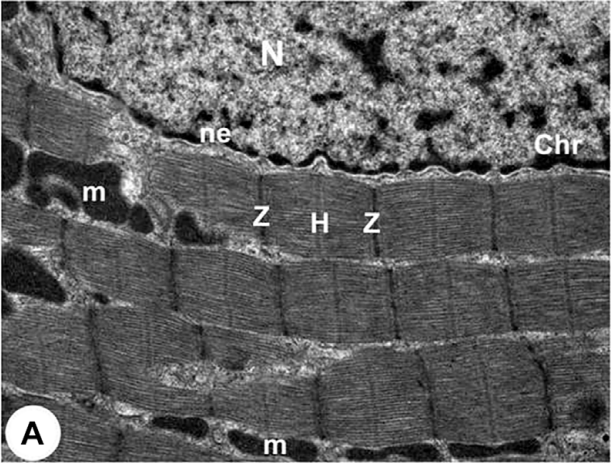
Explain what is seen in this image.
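This is heart muscle seen at high magnification, with part of a cardiomyocyte nucleus at the top and the cytoplasm below packed with myofibrils. The myofibrils run in neat parallel bundles, each divided into sarcomeres by dark, straight transverse lines with a paler central zone between them.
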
